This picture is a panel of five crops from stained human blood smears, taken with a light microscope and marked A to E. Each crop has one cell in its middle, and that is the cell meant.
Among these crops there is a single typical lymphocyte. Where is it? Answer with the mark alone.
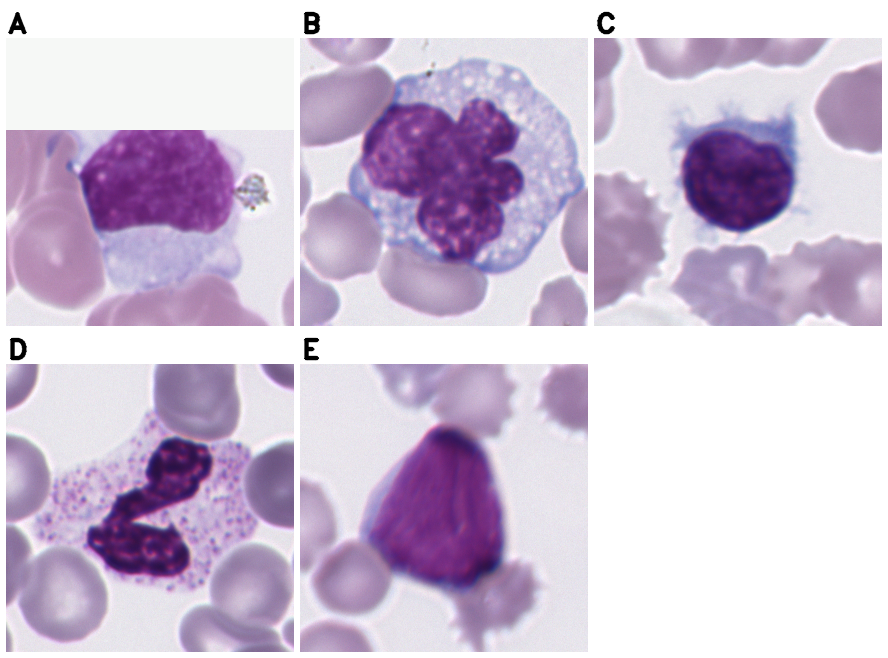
A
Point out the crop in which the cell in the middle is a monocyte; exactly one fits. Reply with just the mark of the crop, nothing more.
B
